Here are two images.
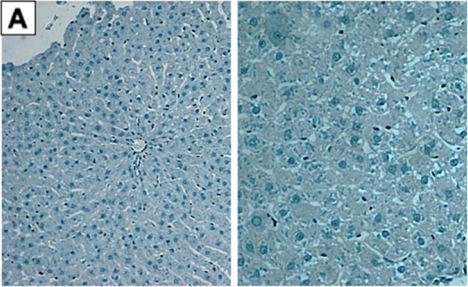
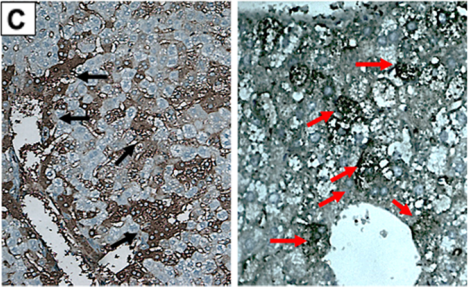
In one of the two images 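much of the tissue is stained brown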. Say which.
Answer: The second image.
